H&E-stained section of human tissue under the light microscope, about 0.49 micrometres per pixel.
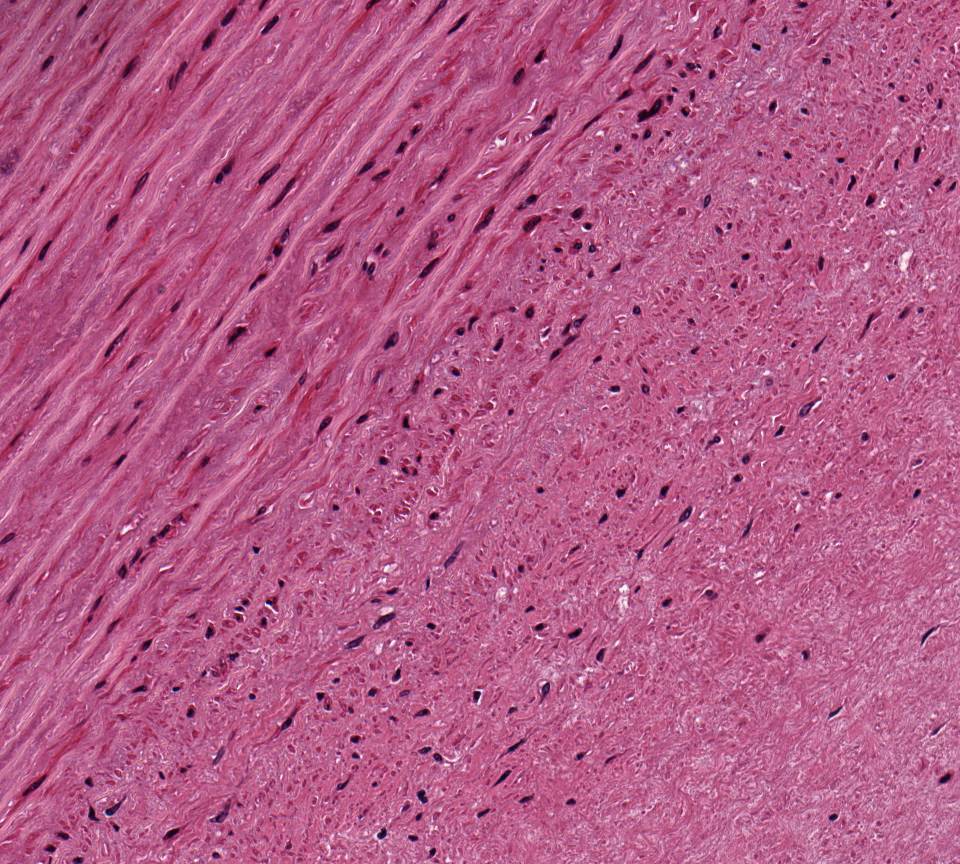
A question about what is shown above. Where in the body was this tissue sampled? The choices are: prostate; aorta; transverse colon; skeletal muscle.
aorta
